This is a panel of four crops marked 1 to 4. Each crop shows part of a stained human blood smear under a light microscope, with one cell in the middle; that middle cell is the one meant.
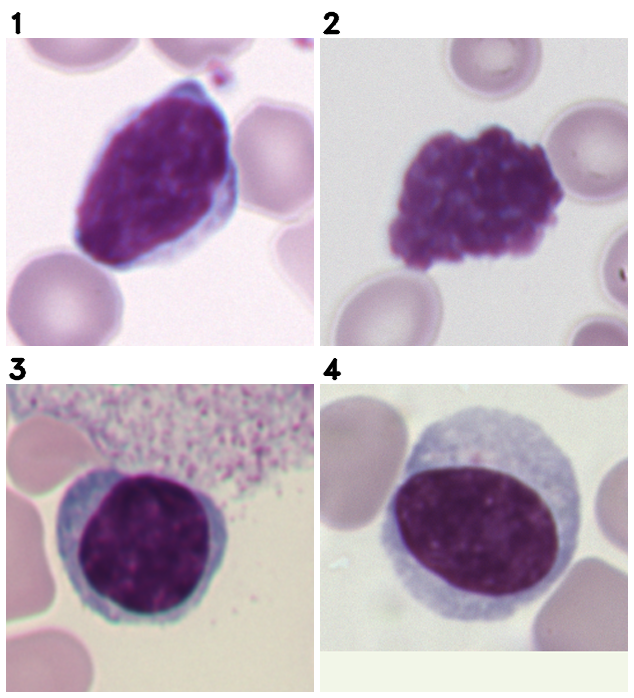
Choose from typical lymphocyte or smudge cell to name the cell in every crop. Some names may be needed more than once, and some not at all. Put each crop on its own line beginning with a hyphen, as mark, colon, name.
- 1: typical lymphocyte
- 2: smudge cell
- 3: typical lymphocyte
- 4: typical lymphocyte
